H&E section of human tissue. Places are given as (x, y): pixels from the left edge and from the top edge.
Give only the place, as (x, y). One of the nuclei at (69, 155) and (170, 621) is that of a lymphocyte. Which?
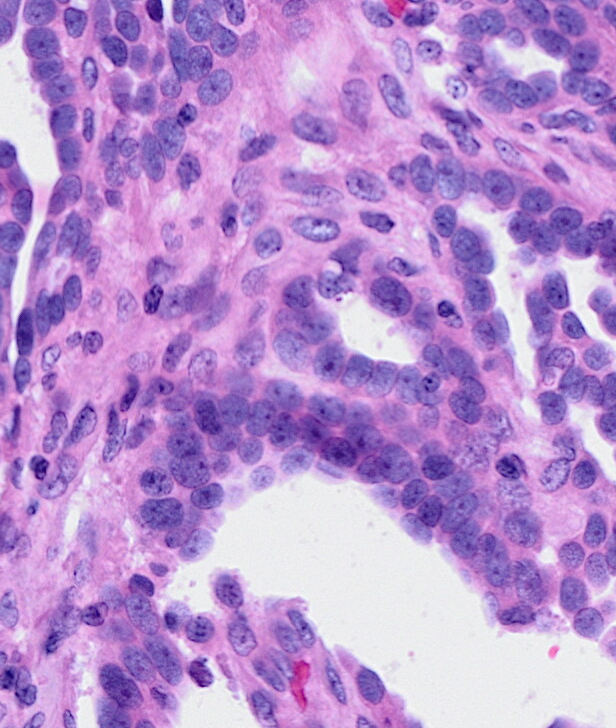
(170, 621)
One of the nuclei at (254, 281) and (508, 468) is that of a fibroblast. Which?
(254, 281)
